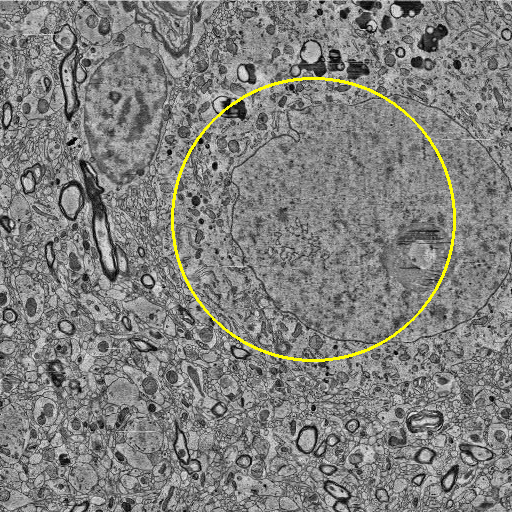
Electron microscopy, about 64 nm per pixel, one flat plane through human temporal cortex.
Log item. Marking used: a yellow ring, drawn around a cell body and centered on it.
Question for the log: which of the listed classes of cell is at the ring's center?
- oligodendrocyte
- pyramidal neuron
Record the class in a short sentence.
At the center of the ring lies a pyramidal neuron.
